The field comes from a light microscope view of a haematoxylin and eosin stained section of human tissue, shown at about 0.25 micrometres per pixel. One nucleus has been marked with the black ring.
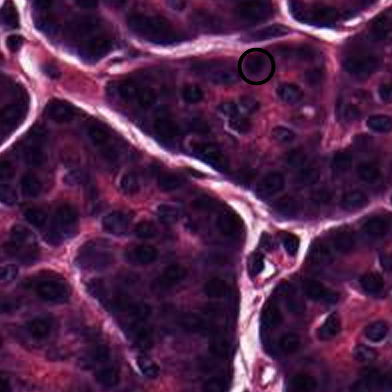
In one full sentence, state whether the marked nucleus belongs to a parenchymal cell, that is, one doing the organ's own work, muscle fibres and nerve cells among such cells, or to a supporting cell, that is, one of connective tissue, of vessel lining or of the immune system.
The marked nucleus is held by a parenchymal cell, namely a pancreatic acinar cell.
